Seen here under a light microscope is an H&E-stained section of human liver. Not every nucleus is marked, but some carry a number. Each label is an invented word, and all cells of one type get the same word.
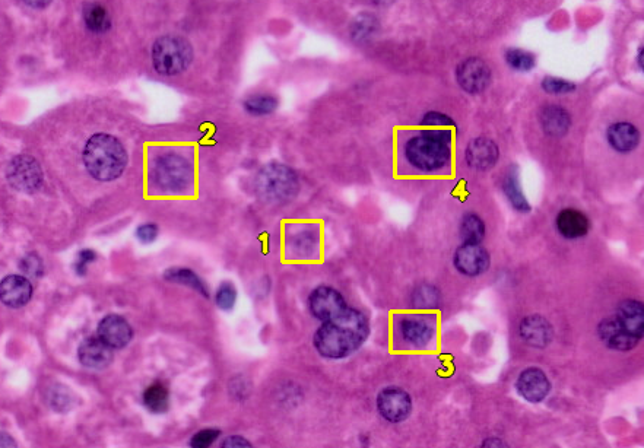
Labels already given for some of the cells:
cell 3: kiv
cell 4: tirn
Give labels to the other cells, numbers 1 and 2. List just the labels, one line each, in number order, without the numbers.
tirn
tirn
